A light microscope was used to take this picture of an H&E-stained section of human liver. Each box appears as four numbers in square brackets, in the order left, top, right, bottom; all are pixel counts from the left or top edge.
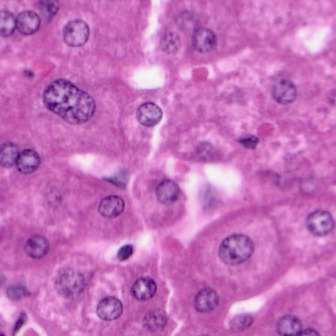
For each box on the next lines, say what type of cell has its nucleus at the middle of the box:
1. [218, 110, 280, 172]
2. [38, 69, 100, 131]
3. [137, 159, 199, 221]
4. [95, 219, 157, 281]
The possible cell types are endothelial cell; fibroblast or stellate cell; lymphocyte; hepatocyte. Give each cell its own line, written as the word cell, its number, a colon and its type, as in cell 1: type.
cell 1: fibroblast or stellate cell
cell 2: hepatocyte
cell 3: hepatocyte
cell 4: lymphocyte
